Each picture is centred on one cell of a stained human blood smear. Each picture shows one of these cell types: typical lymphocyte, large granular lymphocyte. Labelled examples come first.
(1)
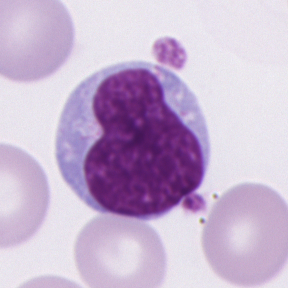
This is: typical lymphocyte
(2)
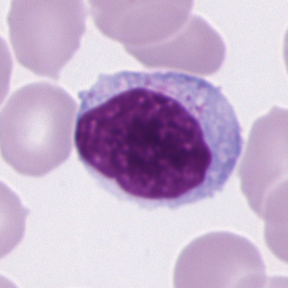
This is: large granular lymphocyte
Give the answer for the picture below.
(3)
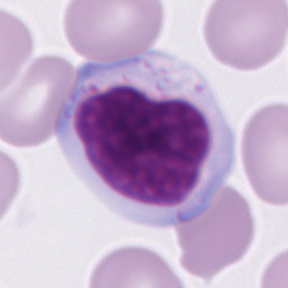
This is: large granular lymphocyte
